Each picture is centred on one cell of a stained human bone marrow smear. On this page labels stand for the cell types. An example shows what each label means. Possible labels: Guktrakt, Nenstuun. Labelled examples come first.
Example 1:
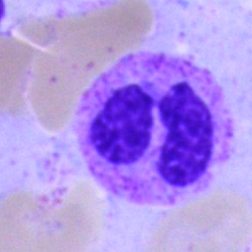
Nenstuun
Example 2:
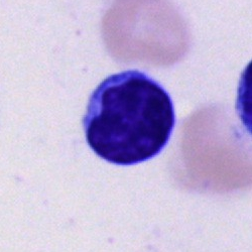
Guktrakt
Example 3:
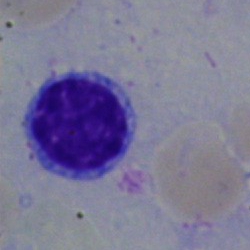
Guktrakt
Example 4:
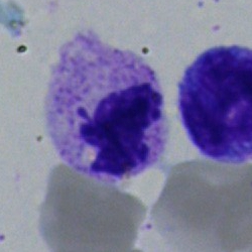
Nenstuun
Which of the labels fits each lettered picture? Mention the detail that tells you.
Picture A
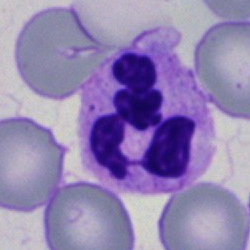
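Nenstuun. Evidence: The cytoplasm is plentiful and pale pinkish-lilac.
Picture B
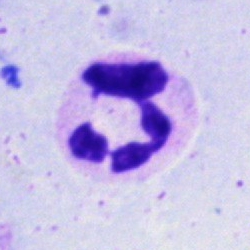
Nenstuun. Evidence: The cytoplasm is plentiful and pale pink.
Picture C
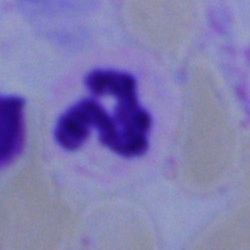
Nenstuun. Evidence: The nucleus is a curved, folded band that encloses a small pale gap near its upper middle.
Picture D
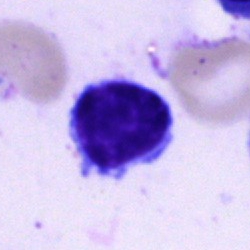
Guktrakt. Evidence: The nucleus fills almost the whole cell.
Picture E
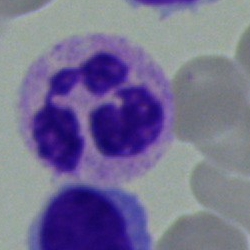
Nenstuun. Evidence: The cytoplasm is plentiful and pale pinkish-lilac.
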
